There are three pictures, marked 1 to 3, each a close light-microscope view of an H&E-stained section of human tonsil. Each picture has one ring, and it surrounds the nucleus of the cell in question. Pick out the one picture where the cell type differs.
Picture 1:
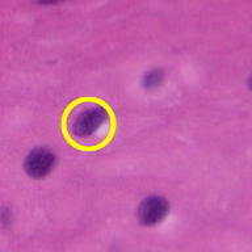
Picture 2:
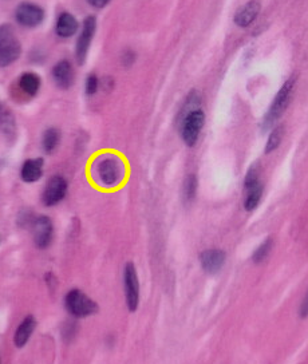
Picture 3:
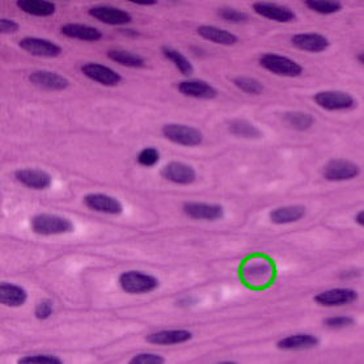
2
